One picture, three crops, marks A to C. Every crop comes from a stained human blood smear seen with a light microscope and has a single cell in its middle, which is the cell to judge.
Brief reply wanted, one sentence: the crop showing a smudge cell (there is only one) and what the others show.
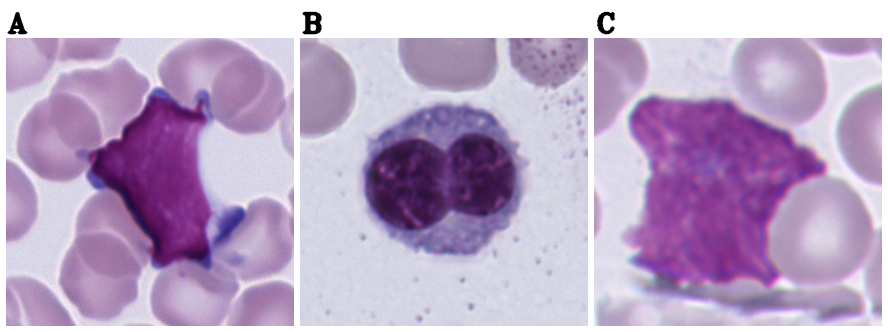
The middle cell of crop C is a smudge cell, while crop A is a typical lymphocyte and crop B is a plasma cell.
